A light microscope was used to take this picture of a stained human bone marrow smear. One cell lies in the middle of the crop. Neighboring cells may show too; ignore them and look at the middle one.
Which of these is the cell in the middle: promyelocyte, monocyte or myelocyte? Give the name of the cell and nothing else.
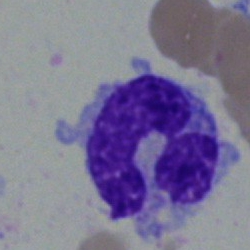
monocyte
